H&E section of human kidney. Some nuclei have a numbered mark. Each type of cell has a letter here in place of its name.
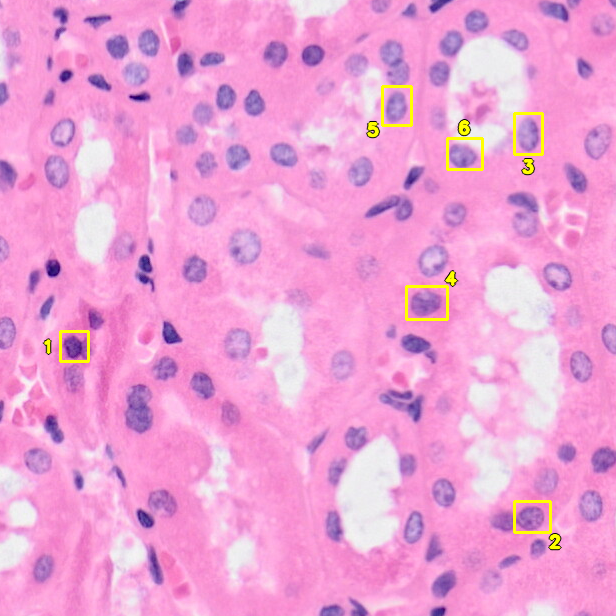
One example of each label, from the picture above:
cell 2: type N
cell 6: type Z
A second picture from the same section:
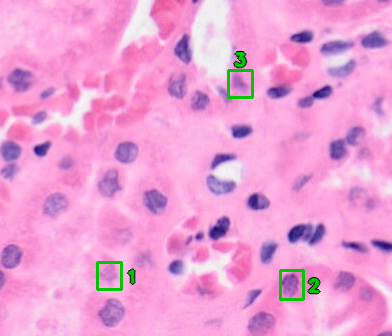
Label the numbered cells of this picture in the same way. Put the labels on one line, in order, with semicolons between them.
type N; type N; type Z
